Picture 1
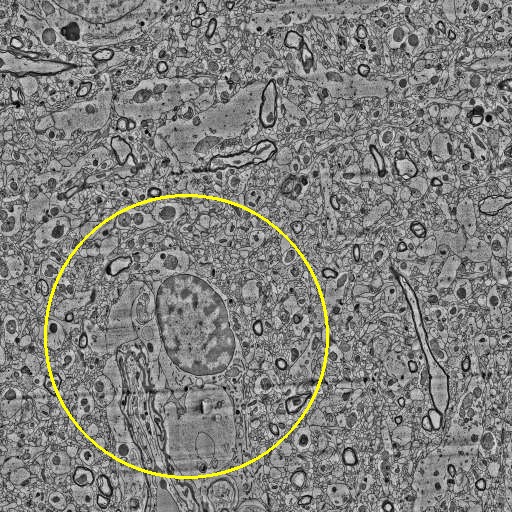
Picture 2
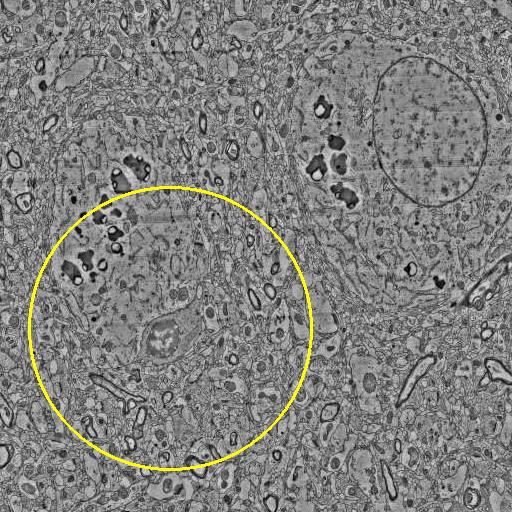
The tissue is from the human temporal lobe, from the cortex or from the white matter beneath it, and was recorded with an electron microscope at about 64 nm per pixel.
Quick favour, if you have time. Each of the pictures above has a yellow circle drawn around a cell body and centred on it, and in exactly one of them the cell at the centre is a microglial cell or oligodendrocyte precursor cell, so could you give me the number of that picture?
1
